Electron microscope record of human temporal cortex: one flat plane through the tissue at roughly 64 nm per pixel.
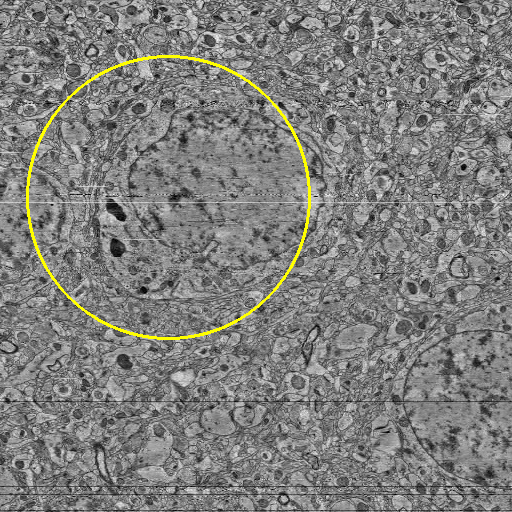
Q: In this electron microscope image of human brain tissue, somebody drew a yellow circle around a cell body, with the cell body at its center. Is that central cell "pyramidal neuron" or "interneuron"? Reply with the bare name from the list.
pyramidal neuron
